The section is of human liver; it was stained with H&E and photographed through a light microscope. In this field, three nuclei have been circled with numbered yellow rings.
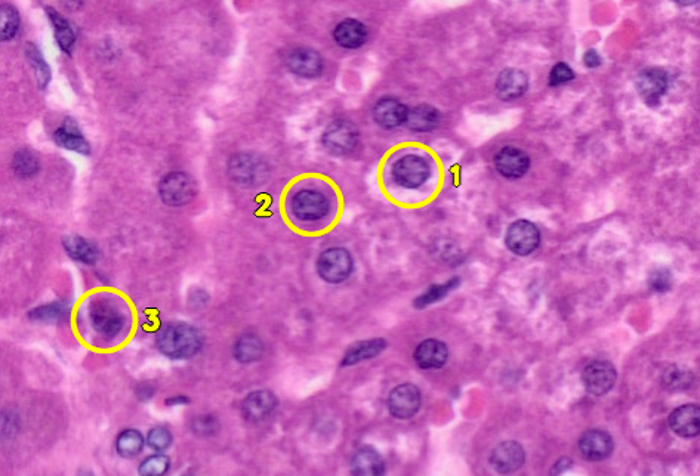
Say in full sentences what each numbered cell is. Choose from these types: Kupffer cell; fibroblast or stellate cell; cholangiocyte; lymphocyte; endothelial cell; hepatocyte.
Cell 1 is a hepatocyte, cell 2 is a hepatocyte and cell 3 is a fibroblast or stellate cell.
